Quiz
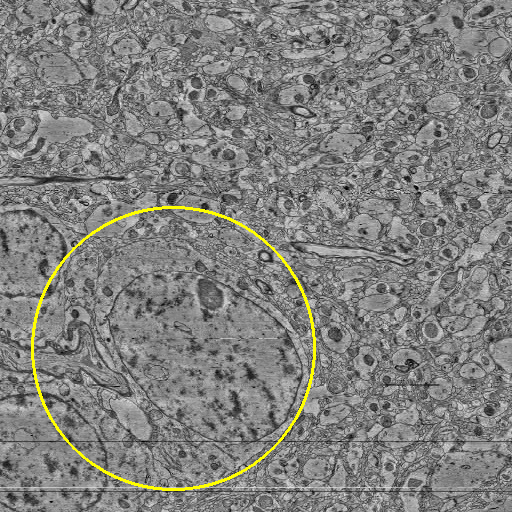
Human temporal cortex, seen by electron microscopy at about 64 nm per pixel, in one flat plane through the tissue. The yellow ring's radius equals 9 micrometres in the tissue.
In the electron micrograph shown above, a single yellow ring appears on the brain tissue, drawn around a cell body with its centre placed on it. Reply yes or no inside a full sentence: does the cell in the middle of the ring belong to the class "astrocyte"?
No, the cell at the centre of the ring in the picture belongs to a different class.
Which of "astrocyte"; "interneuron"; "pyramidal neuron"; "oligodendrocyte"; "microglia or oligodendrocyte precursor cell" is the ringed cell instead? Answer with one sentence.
At the centre of the ring sits a pyramidal neuron.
